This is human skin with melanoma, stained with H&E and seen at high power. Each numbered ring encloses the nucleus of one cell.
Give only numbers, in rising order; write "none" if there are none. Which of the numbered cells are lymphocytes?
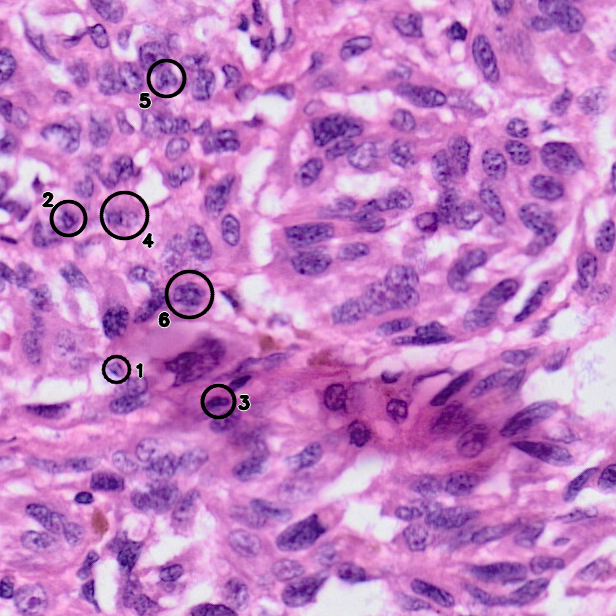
1, 3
